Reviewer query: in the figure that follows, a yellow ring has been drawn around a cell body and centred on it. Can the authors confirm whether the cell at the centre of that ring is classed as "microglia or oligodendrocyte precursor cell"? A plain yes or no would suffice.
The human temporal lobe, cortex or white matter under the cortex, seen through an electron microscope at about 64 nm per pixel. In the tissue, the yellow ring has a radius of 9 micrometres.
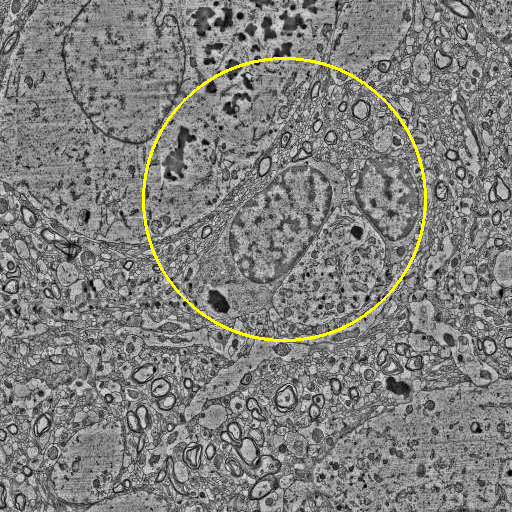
no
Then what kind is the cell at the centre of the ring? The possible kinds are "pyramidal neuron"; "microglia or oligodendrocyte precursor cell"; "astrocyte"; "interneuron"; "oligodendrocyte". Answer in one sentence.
It is an oligodendrocyte at the centre of the ring.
